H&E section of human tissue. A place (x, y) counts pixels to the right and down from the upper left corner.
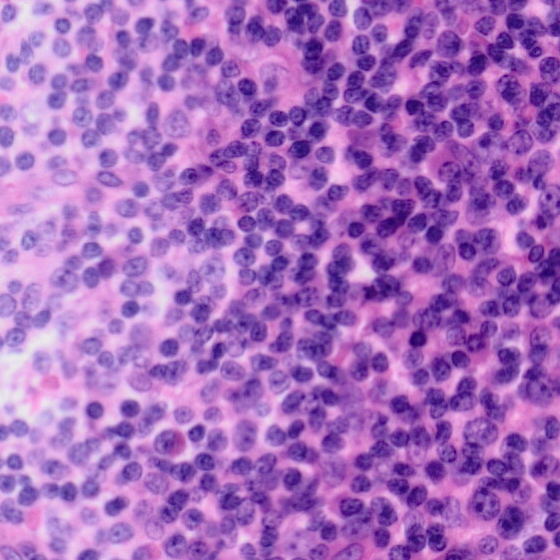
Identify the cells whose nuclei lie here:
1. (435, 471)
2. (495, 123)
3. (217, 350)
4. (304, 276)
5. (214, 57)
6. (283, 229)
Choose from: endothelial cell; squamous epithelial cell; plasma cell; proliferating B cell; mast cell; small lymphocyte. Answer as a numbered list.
1. proliferating B cell
2. proliferating B cell
3. small lymphocyte
4. small lymphocyte
5. small lymphocyte
6. small lymphocyte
